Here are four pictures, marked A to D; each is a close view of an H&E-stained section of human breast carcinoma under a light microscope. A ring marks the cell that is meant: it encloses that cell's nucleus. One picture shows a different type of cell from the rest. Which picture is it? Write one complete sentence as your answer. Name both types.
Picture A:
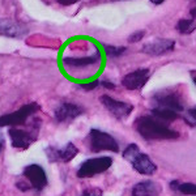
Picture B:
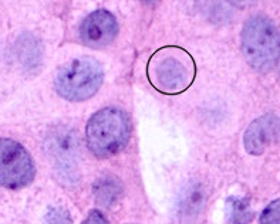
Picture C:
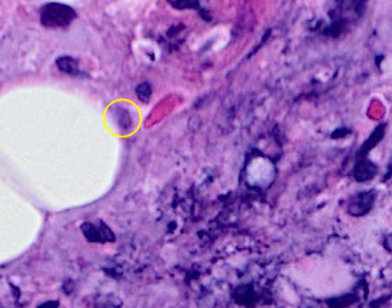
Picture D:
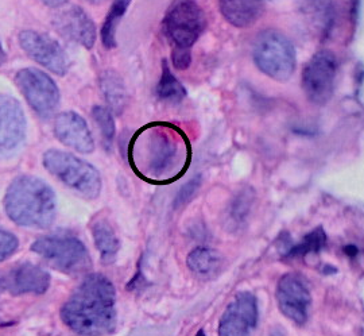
Picture B is the odd one out: it shows a carcinoma cell, while the others show endothelial cells.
